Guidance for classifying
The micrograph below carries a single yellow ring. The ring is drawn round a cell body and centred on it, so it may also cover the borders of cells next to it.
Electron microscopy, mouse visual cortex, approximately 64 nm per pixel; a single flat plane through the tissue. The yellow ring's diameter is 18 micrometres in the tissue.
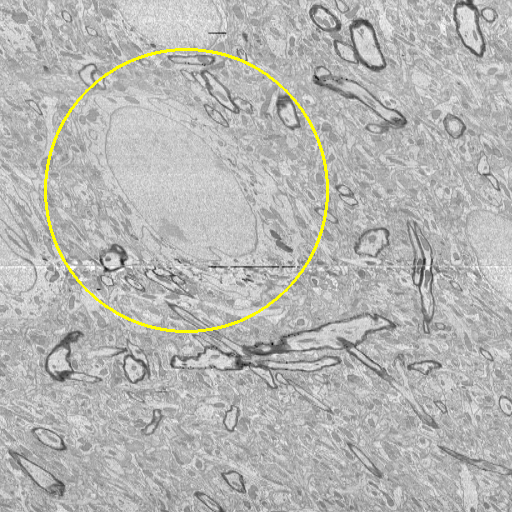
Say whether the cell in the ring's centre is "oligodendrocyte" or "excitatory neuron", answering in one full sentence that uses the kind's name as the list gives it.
Within the yellow ring, an excitatory neuron is the cell whose body sits at the centre.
